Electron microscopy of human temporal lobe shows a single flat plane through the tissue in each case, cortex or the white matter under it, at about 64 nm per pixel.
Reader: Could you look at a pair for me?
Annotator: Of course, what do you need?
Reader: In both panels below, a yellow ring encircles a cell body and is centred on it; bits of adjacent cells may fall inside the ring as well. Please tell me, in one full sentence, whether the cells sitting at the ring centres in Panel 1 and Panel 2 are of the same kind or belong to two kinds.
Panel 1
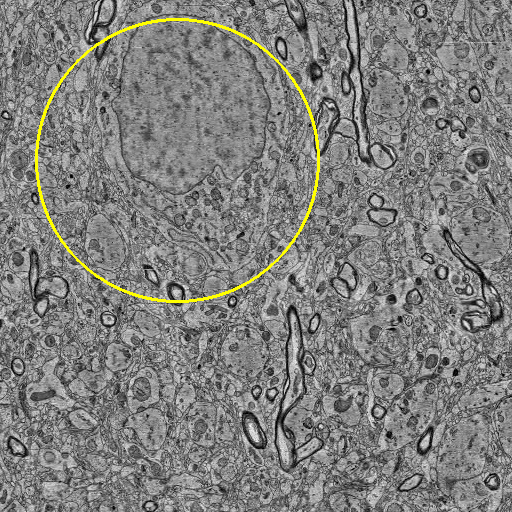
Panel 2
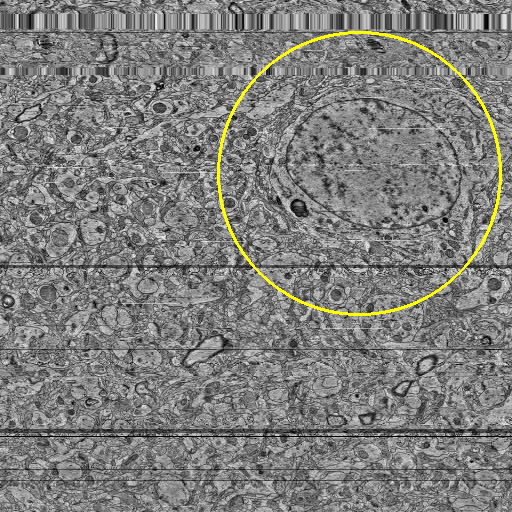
The cell at the ring's centre in Panel 1 and the one in Panel 2 belong to two kinds.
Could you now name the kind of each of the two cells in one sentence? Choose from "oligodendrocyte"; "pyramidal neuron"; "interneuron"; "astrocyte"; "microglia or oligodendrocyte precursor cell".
The first ring encloses an interneuron; the second ring encloses a pyramidal neuron.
